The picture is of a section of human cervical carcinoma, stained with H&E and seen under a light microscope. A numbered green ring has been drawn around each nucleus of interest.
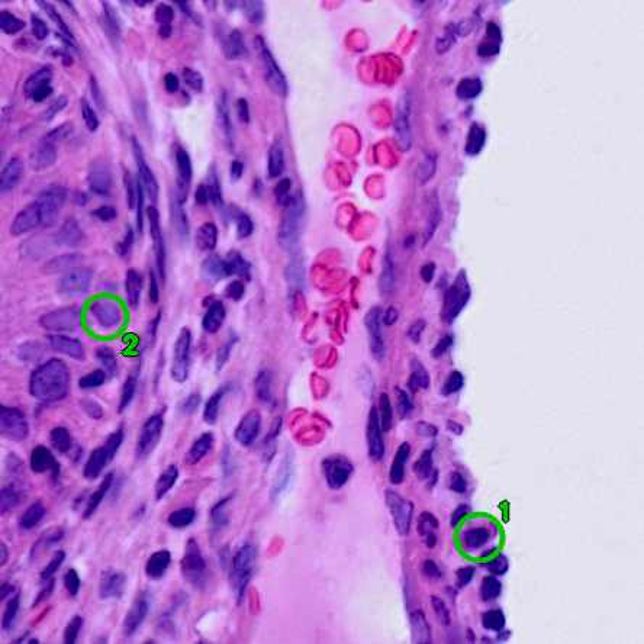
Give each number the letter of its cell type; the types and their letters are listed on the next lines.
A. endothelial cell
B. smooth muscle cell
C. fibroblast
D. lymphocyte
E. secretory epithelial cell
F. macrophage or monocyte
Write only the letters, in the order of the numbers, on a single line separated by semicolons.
D; E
